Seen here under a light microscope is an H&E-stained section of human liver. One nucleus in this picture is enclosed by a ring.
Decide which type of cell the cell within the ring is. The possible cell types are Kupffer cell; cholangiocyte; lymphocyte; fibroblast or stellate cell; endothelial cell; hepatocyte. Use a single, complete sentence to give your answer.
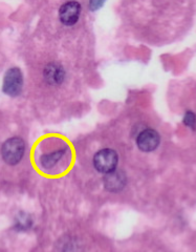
To be brief about it, the cell within the ring is an endothelial cell.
